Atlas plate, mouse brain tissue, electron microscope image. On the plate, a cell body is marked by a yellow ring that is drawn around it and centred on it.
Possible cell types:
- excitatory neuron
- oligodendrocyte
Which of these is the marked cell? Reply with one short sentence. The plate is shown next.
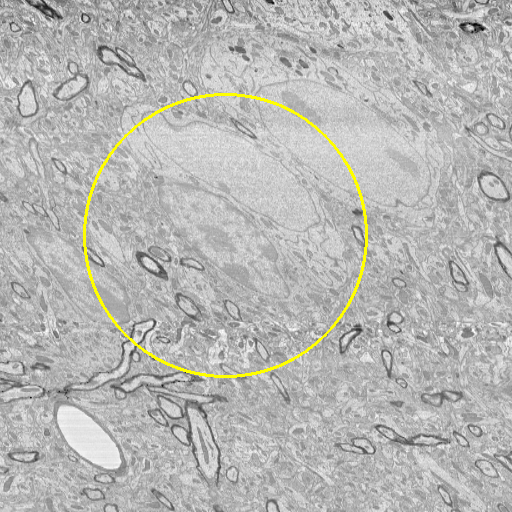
The marked cell is an oligodendrocyte.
